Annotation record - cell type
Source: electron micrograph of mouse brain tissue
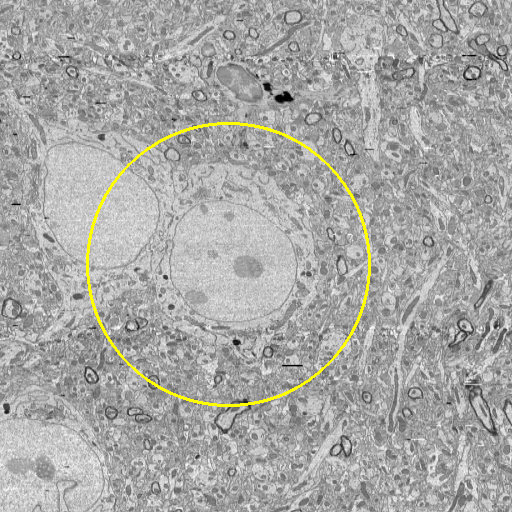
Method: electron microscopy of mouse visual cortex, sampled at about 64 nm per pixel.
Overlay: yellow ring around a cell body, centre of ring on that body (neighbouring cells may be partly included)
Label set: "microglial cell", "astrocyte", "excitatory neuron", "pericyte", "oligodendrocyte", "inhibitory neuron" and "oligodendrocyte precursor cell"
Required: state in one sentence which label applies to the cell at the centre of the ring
This cell should be labelled as an excitatory neuron.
